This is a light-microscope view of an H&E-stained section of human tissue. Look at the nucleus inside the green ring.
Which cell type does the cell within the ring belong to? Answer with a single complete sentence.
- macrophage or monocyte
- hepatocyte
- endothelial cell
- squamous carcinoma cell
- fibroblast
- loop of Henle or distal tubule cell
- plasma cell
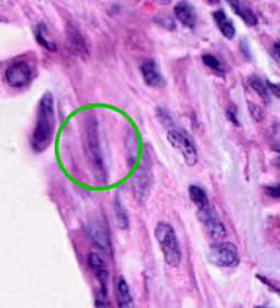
As a matter of cell type, the cell within the ring is a fibroblast.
